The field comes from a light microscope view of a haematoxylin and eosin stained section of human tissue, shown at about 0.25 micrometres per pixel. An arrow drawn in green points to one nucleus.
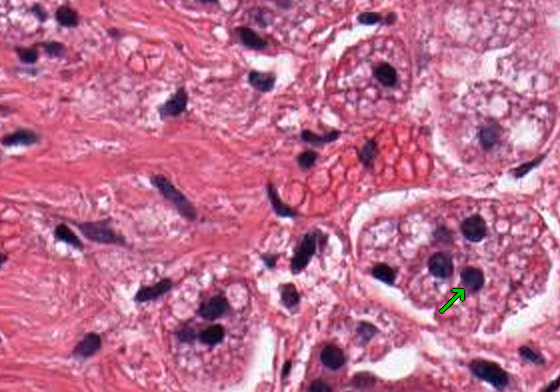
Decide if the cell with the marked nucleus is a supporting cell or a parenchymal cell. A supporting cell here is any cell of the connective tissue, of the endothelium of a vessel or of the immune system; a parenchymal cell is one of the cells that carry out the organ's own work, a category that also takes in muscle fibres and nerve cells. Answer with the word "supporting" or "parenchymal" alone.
parenchymal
